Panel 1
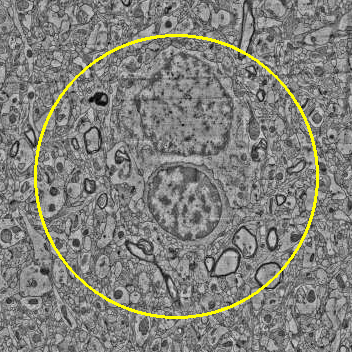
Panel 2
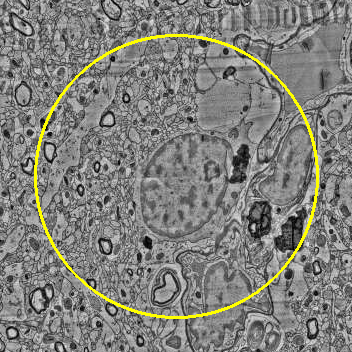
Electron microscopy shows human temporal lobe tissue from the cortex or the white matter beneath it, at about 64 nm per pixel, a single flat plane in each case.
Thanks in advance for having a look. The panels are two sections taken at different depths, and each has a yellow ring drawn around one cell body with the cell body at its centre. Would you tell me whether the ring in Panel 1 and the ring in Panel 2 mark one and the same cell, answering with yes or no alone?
no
